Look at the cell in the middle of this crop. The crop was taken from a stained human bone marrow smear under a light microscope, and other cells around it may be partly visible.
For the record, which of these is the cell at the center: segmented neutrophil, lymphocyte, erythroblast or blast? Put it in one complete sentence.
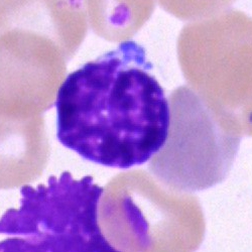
As for the cell in the middle, it is a lymphocyte.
